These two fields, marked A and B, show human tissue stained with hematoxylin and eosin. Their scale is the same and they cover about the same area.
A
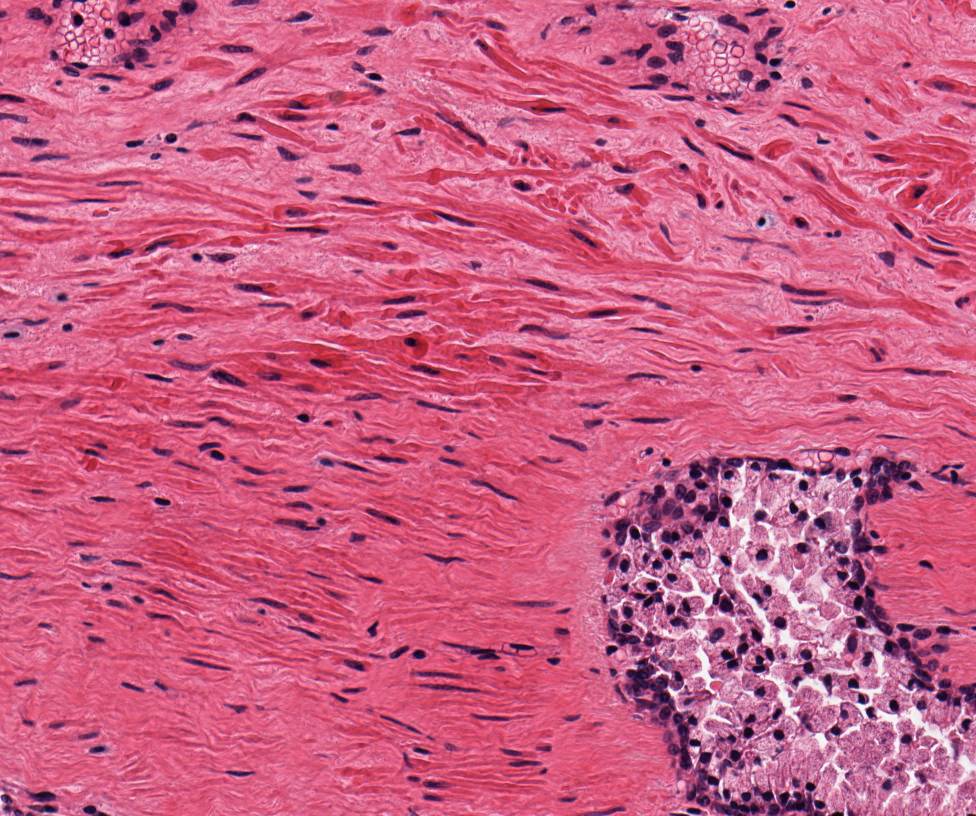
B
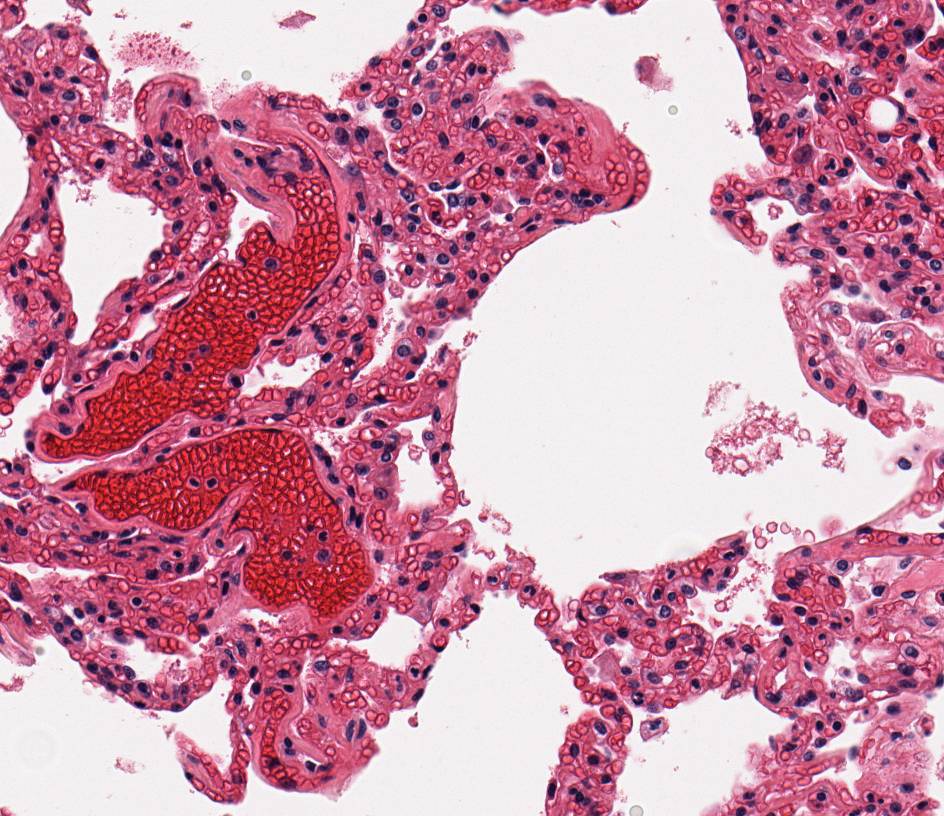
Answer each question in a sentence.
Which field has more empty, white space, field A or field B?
It is field B in which white space covers the larger part.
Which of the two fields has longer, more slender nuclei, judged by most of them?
The nuclei are more elongated in field A.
